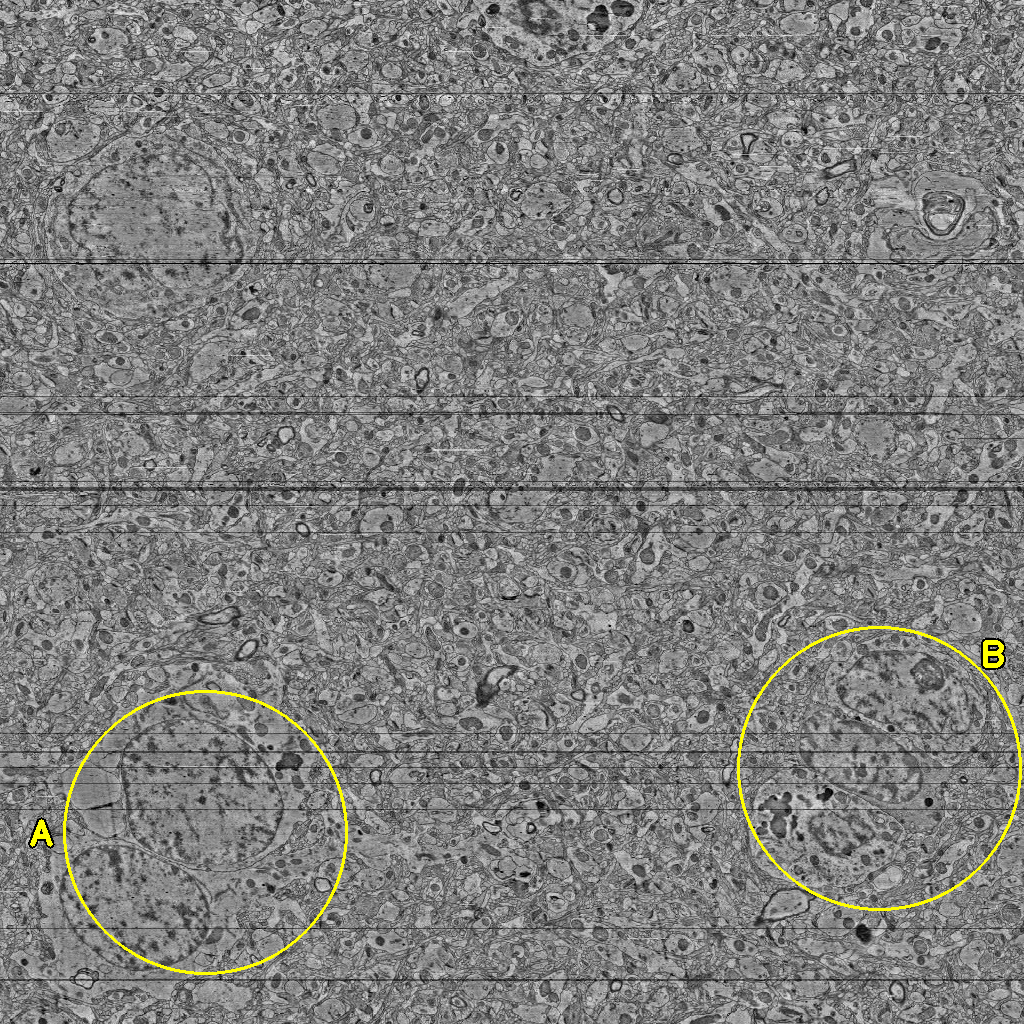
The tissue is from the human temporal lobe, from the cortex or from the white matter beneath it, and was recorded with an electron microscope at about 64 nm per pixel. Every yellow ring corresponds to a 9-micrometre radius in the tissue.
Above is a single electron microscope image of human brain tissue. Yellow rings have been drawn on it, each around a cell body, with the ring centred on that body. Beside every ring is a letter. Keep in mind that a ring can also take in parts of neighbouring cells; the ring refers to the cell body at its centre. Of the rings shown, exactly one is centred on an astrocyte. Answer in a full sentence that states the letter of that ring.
The cell at the centre of ring A is the one asked for.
